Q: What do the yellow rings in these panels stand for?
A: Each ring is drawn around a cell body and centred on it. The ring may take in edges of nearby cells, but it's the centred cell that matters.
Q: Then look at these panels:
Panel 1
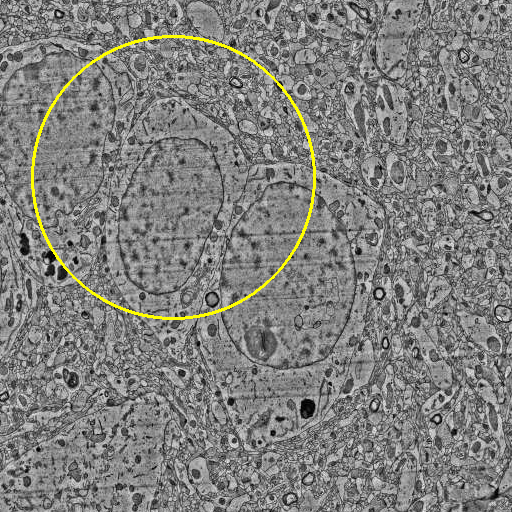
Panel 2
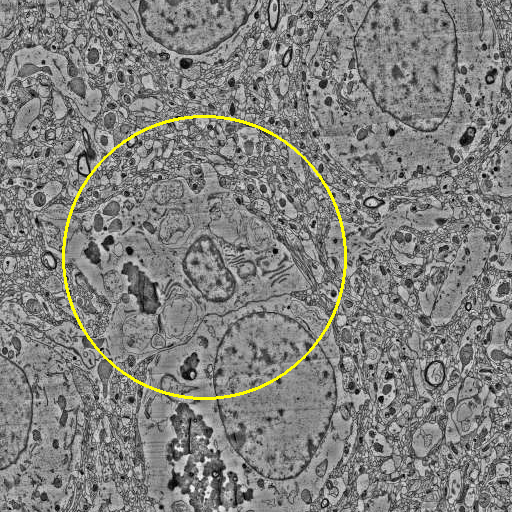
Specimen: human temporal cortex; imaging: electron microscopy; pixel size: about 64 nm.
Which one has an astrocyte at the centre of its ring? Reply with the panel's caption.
Panel 2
